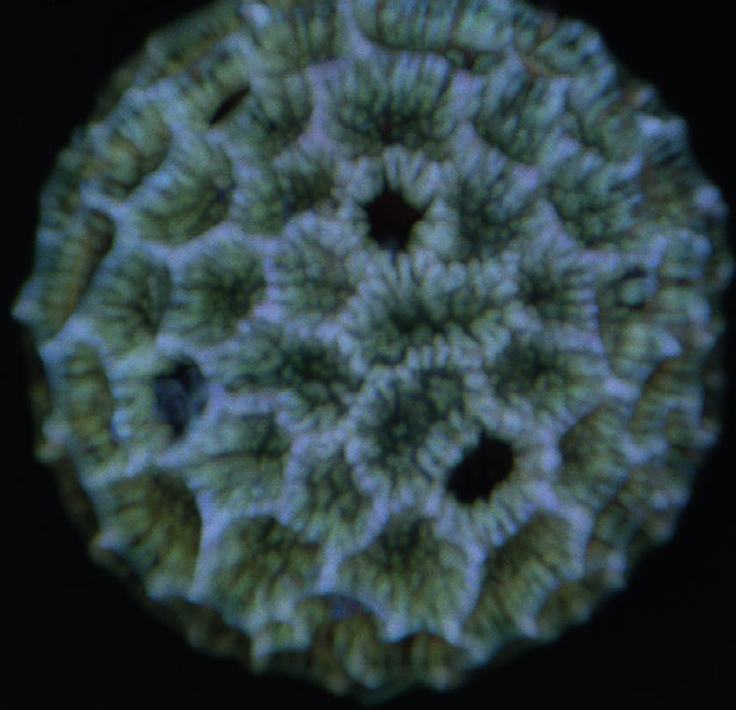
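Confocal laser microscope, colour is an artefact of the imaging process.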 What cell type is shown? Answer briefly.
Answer: Pollen grains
